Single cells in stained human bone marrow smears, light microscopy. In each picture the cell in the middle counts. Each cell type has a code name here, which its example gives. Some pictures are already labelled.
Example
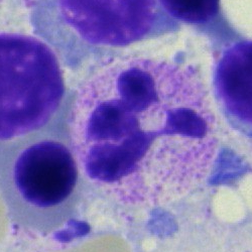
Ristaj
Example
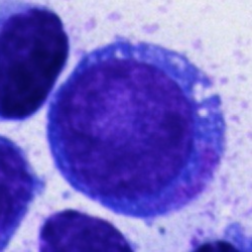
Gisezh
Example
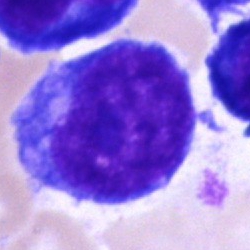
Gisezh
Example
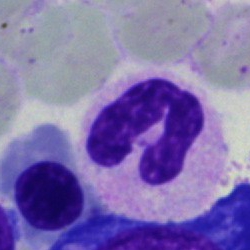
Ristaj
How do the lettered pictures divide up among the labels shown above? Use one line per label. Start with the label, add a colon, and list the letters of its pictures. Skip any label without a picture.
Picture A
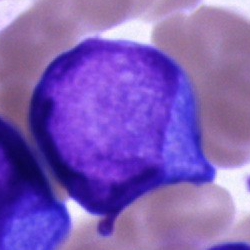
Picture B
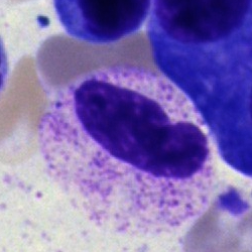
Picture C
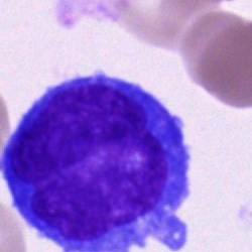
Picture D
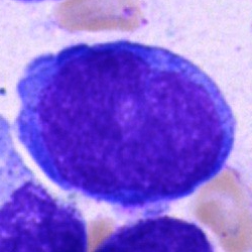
Ristaj: B
Gisezh: A, C, D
